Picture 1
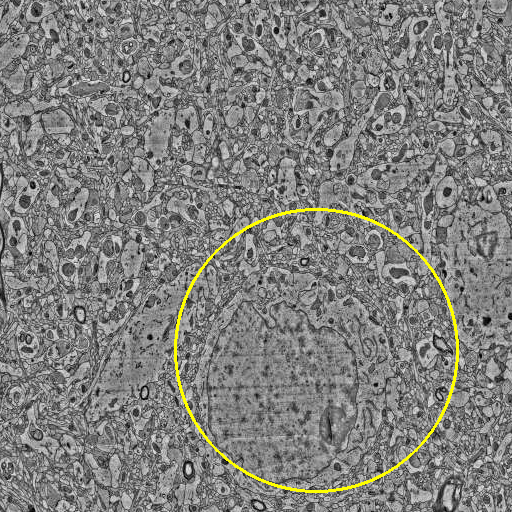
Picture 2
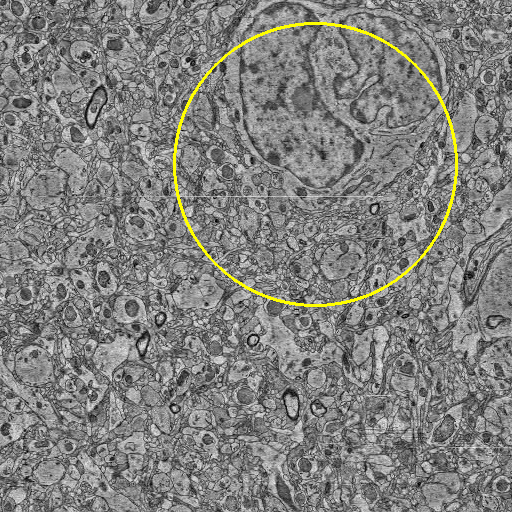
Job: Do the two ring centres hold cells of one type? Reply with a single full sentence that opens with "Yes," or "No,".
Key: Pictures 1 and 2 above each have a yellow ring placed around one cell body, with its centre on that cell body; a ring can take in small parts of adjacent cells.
No, the cells at the two ring centres are of two separate types.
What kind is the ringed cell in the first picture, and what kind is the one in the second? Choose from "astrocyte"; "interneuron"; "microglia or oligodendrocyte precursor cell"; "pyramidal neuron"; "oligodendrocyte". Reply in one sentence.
The first cell is an interneuron; the second is a microglial cell or oligodendrocyte precursor cell.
